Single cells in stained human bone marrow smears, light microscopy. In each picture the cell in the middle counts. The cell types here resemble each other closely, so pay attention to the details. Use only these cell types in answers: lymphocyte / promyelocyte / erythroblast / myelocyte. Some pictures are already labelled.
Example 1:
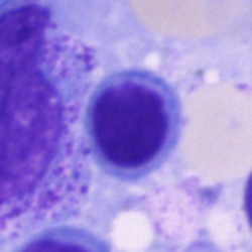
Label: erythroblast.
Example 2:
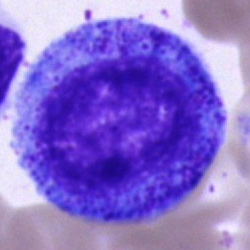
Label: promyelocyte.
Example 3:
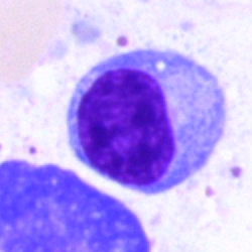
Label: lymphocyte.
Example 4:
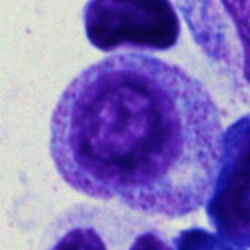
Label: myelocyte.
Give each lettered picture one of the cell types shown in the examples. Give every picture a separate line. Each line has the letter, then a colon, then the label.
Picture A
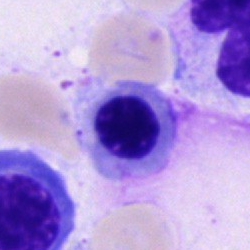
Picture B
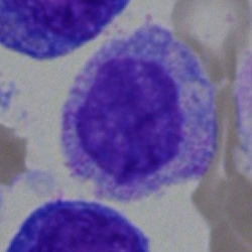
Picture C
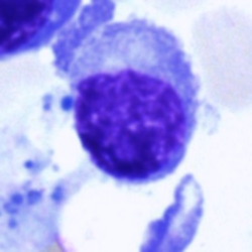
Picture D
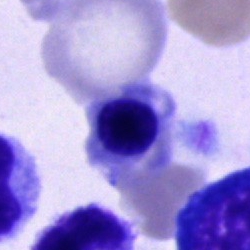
A: erythroblast.
B: myelocyte.
C: lymphocyte.
D: erythroblast.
